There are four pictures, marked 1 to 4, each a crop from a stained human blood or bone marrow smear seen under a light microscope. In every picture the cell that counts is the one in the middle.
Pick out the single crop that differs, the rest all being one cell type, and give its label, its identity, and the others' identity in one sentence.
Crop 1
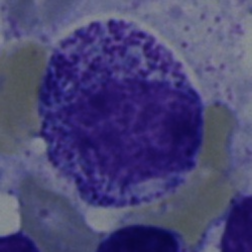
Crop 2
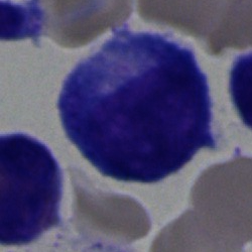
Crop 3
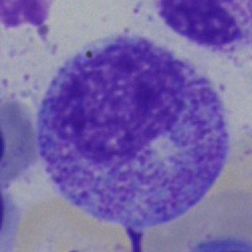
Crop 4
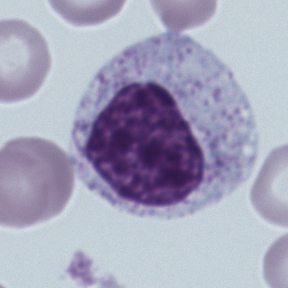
Of these crops, only crop 4 is a myelocyte; the others are promyelocytes.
